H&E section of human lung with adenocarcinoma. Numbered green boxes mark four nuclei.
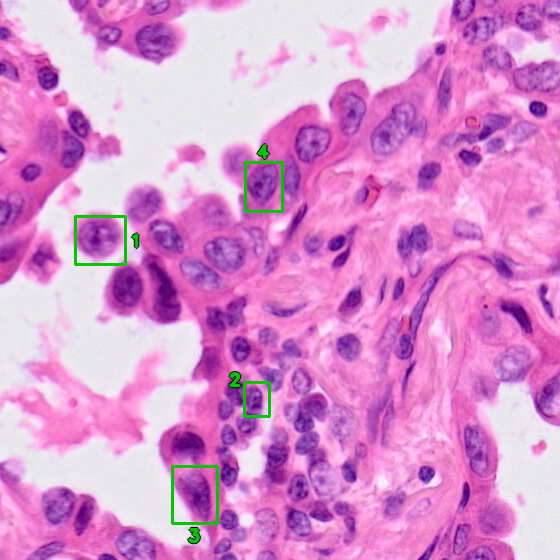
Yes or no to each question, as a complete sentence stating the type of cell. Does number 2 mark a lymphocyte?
Yes, exactly, the cell numbered 2 is a lymphocyte.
